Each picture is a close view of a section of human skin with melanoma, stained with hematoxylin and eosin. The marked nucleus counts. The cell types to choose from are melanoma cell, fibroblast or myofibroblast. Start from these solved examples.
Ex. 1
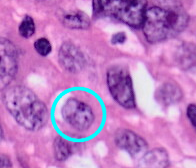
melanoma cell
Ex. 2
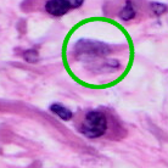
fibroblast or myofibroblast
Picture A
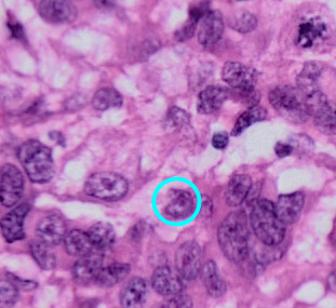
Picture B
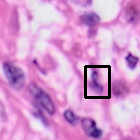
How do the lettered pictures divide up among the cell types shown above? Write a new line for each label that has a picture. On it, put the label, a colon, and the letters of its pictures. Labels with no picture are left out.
melanoma cell: A
fibroblast or myofibroblast: B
